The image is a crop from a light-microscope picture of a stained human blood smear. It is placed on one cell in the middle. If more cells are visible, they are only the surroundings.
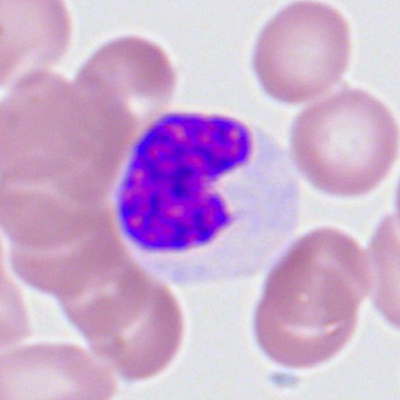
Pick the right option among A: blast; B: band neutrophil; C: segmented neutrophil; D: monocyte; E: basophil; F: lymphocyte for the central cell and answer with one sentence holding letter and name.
Option B is accurate; the centrally placed cell is a band neutrophil.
